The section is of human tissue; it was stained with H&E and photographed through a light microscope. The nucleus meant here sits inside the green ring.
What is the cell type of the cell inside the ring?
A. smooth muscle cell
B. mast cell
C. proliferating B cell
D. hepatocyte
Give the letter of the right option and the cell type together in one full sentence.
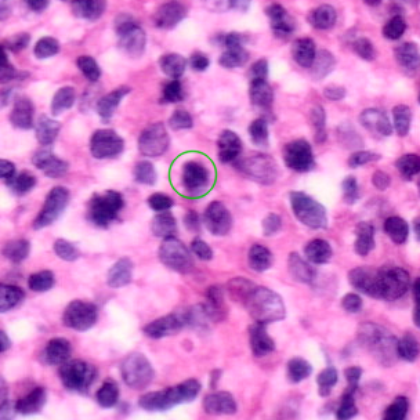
It is option C that is correct, the cell inside the ring being a proliferating B cell.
